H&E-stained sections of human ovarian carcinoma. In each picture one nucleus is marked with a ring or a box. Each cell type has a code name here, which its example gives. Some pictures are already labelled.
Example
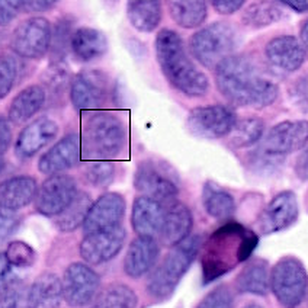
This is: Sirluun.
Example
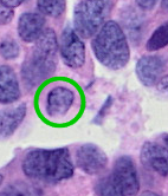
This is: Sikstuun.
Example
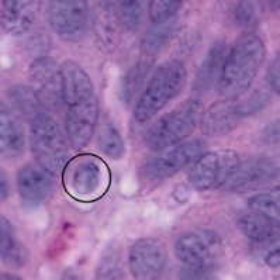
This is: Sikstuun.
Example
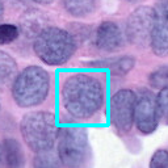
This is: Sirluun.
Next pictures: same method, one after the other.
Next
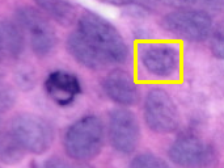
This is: Sikstuun.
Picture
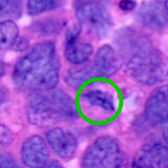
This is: Sikstuun.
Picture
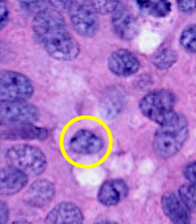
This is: Sikstuun.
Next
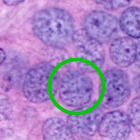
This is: Sirluun.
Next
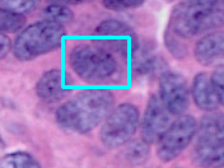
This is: Sirluun.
